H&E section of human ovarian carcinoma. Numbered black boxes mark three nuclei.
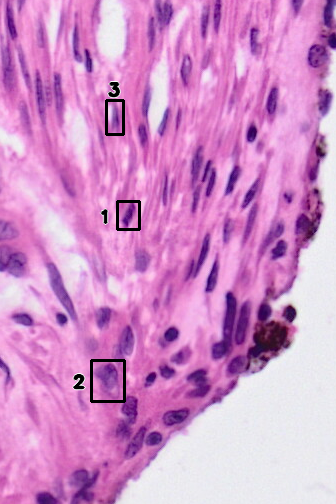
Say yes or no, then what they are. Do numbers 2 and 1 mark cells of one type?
No, hold on, cell 2 is an endothelial cell and cell 1 is a fibroblast.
